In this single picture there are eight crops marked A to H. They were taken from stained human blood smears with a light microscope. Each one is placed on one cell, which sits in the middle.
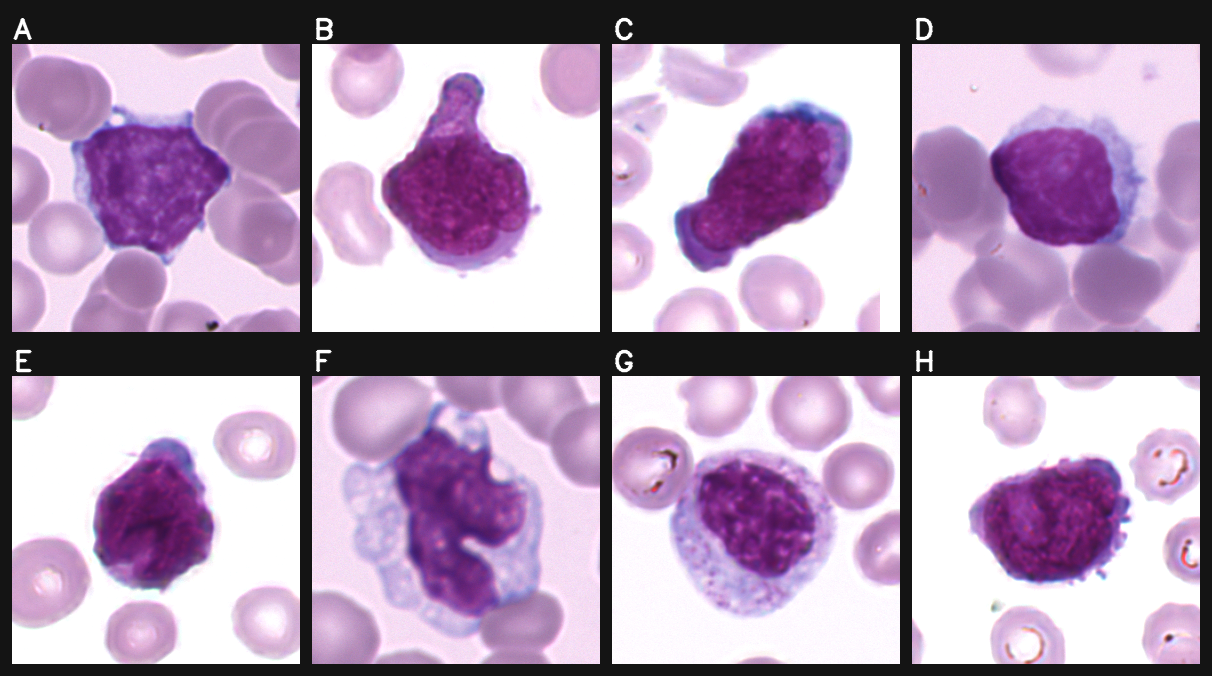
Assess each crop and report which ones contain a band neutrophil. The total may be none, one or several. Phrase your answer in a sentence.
Of all the crops given, none shows a band neutrophil.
